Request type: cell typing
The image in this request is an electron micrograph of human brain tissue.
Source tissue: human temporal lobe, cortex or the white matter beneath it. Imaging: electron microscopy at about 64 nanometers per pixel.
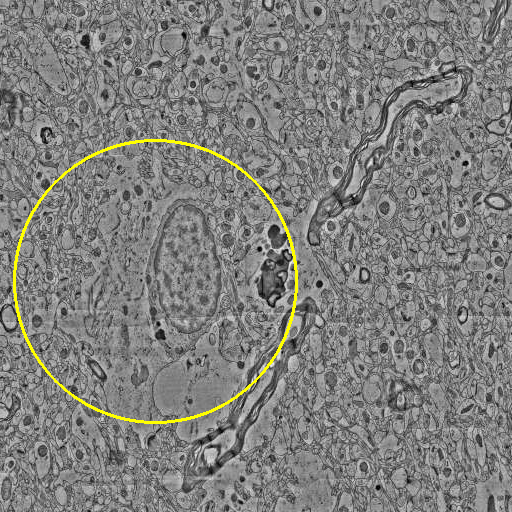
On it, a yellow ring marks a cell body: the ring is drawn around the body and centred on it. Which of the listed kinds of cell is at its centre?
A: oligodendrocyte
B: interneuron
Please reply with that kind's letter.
A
